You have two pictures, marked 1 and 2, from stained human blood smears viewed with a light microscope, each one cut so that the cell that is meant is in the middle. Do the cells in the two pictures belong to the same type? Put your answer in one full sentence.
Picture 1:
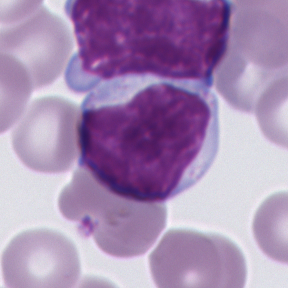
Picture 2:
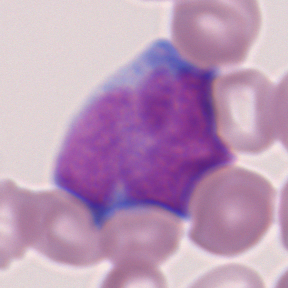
No, the types are not the same, since picture 1 shows a large granular lymphocyte and picture 2 a myeloblast.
